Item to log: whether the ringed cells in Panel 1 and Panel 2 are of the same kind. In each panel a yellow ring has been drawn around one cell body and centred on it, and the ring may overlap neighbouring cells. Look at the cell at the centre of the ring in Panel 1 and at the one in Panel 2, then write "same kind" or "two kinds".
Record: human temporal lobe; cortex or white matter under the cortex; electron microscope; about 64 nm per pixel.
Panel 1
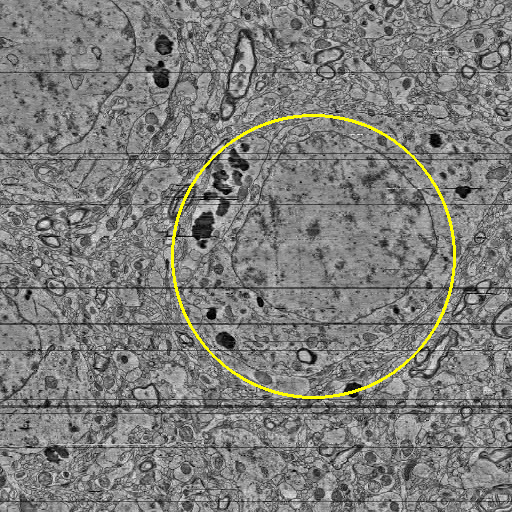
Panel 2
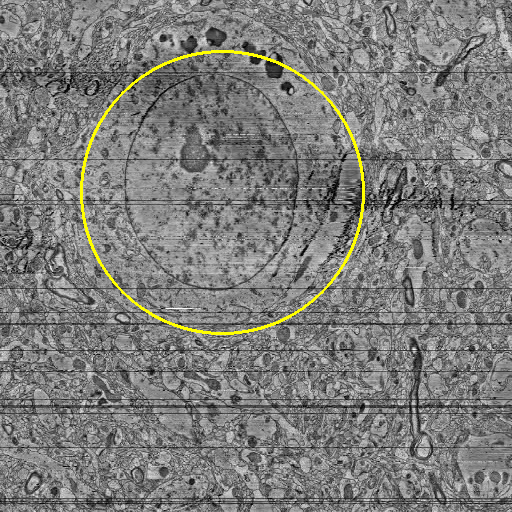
same kind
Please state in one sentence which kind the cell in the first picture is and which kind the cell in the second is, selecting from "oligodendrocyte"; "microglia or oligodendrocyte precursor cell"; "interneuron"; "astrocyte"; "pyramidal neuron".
In both pictures the ring is centred on a pyramidal neuron.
